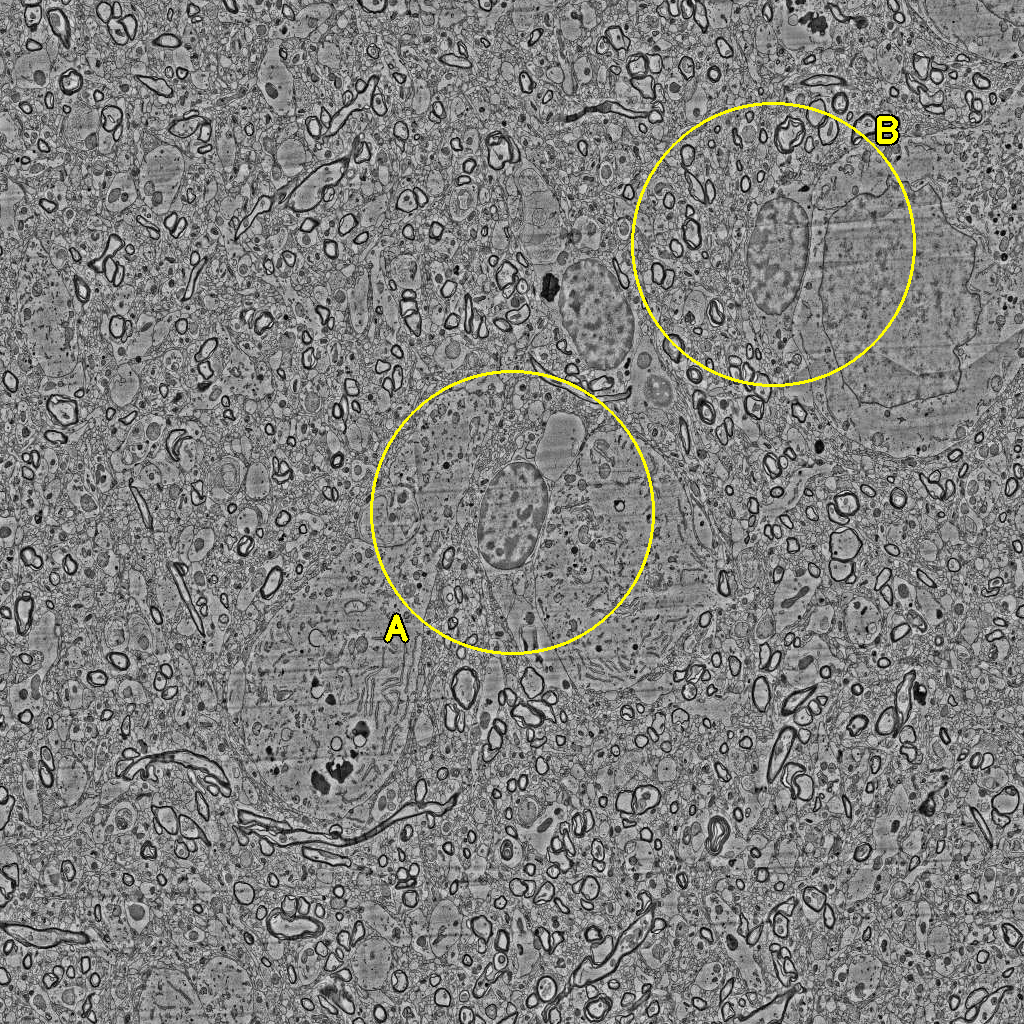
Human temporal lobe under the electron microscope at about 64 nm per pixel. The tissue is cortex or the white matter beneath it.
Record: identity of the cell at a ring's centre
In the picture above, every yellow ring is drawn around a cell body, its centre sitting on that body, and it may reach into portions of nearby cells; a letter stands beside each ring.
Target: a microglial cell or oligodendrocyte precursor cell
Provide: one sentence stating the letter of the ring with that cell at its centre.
The letter of the ring centred on a cell of that kind is A.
